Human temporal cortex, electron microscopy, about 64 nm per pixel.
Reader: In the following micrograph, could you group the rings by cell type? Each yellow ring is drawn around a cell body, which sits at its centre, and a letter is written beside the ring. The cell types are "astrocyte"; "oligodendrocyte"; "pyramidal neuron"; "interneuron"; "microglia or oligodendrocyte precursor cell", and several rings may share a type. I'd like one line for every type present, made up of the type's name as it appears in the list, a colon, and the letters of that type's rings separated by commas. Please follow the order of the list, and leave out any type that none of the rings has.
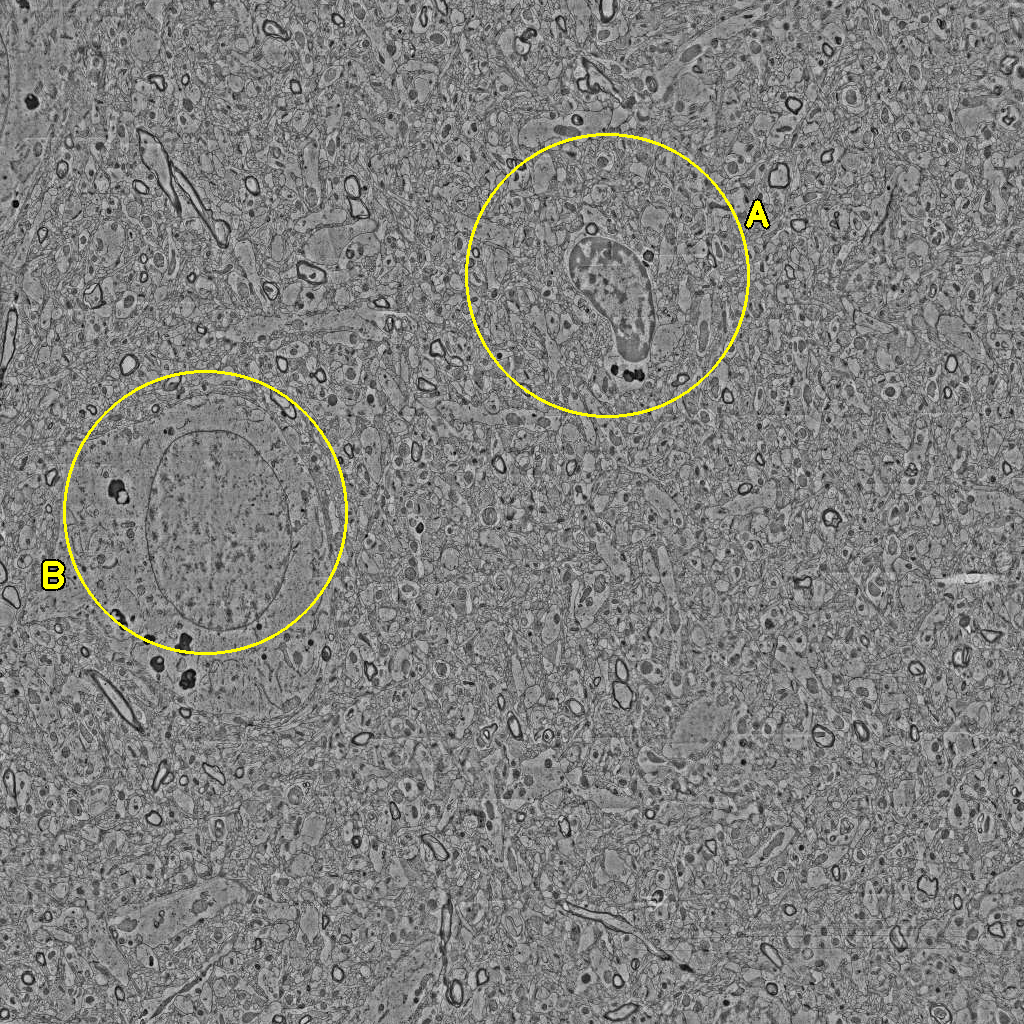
pyramidal neuron: B
microglia or oligodendrocyte precursor cell: A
